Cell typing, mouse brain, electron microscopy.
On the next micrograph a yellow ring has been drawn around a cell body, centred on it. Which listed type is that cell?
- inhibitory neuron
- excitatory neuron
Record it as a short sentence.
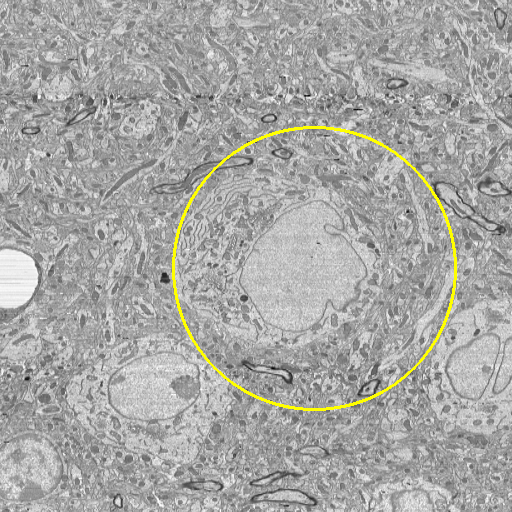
The cell body in the ring's centre belongs to an inhibitory neuron.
